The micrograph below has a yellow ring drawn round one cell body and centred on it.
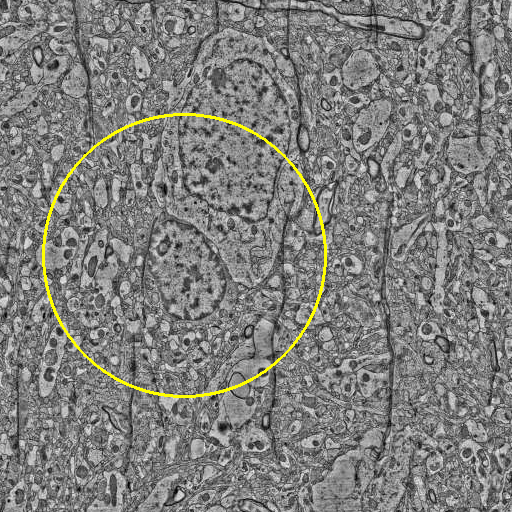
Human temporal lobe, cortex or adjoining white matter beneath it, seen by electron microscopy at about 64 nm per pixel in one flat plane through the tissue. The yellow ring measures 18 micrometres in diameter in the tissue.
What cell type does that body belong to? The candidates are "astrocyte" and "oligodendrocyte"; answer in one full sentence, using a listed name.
This is an oligodendrocyte, the cell whose body lies at the centre of the ring.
